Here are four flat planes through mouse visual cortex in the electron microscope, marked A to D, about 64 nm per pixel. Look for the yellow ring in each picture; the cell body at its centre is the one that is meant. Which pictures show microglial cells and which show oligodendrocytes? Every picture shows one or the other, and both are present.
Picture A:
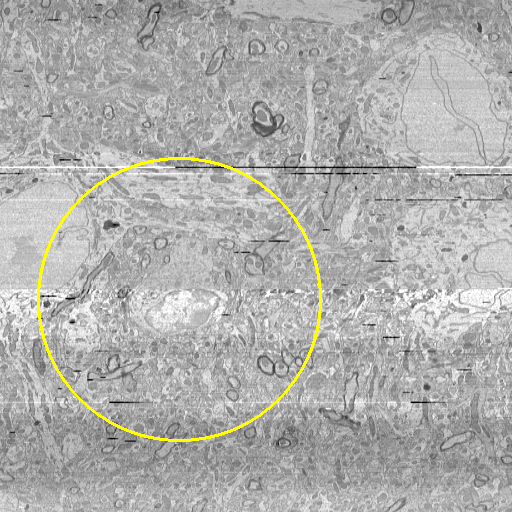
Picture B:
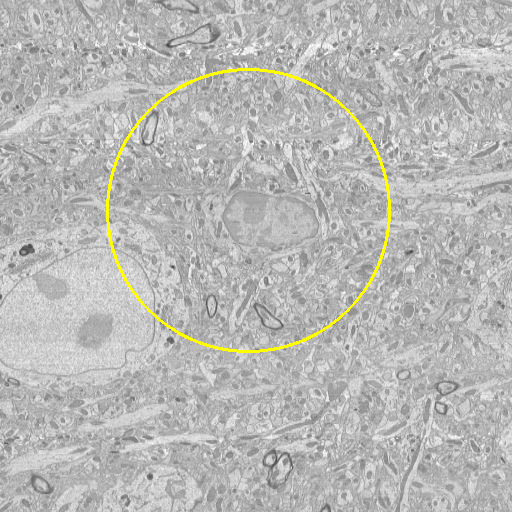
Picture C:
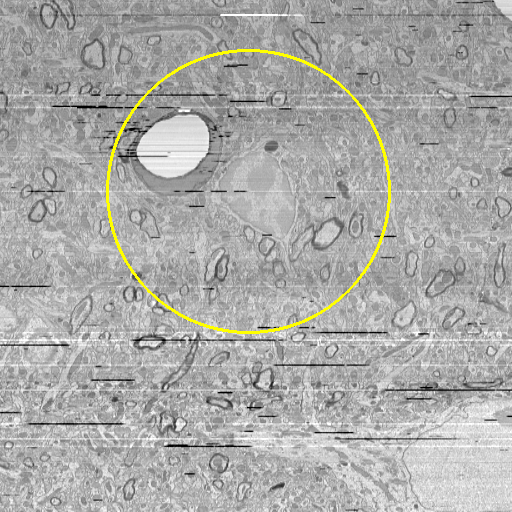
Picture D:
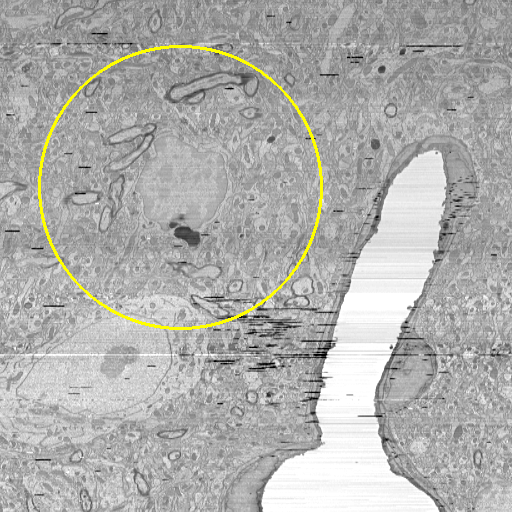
Pictures B, C and D show microglial cells, while picture A shows an oligodendrocyte.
